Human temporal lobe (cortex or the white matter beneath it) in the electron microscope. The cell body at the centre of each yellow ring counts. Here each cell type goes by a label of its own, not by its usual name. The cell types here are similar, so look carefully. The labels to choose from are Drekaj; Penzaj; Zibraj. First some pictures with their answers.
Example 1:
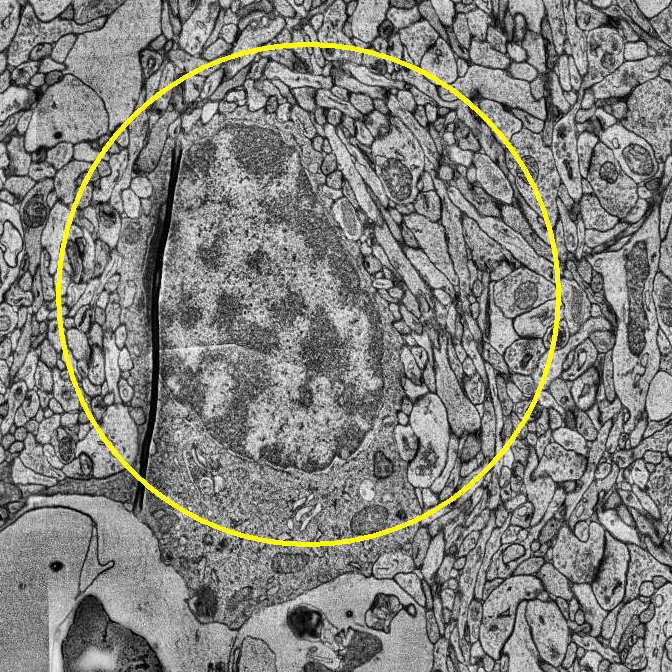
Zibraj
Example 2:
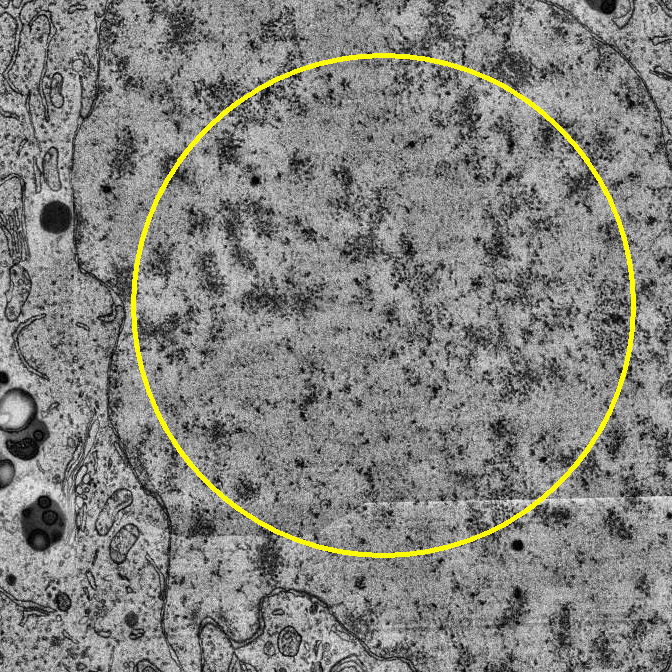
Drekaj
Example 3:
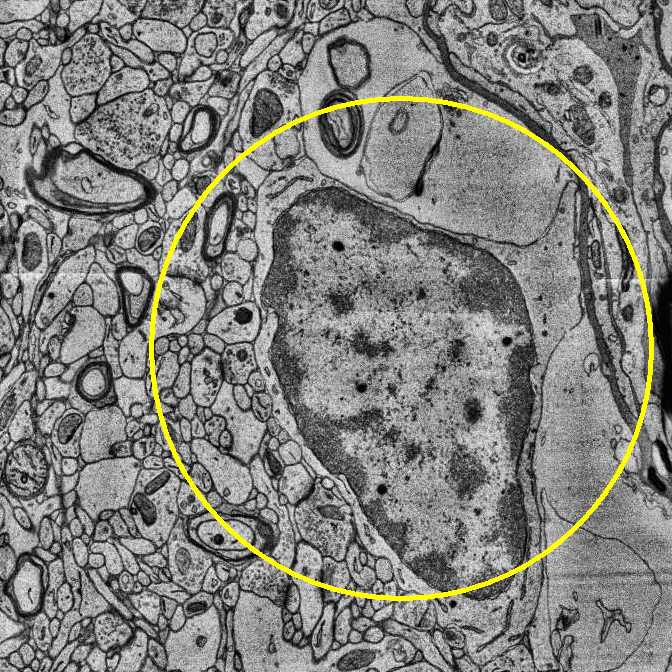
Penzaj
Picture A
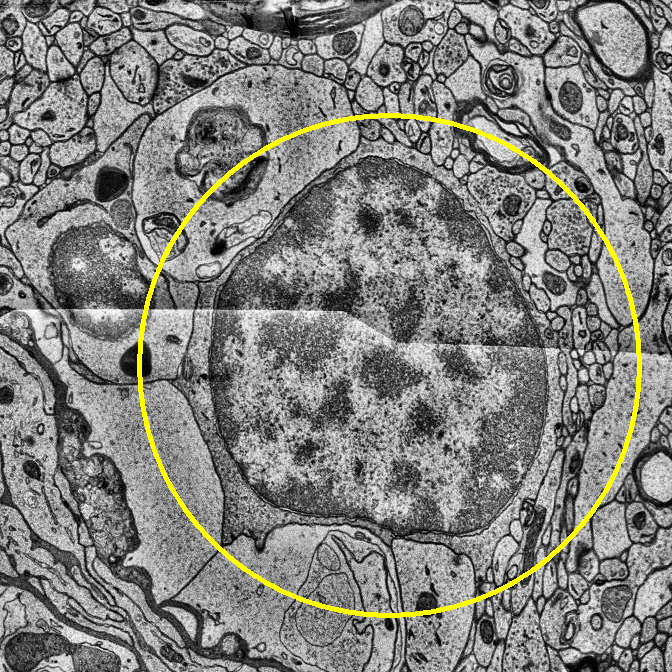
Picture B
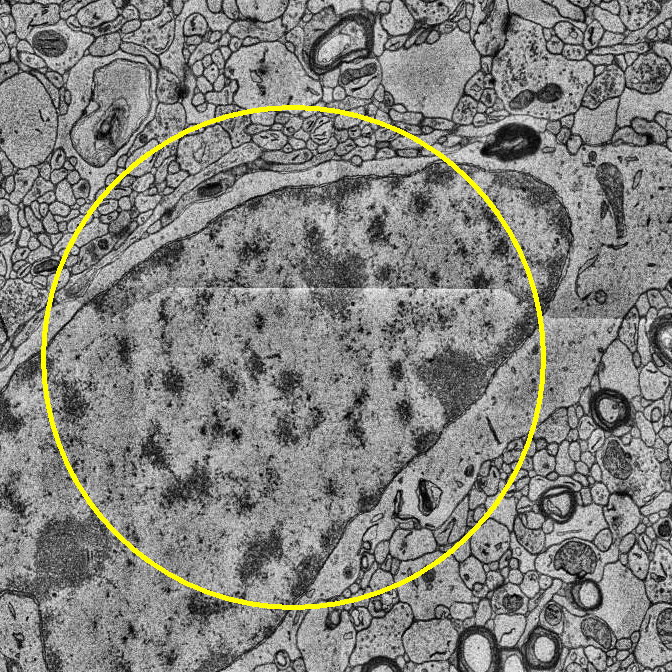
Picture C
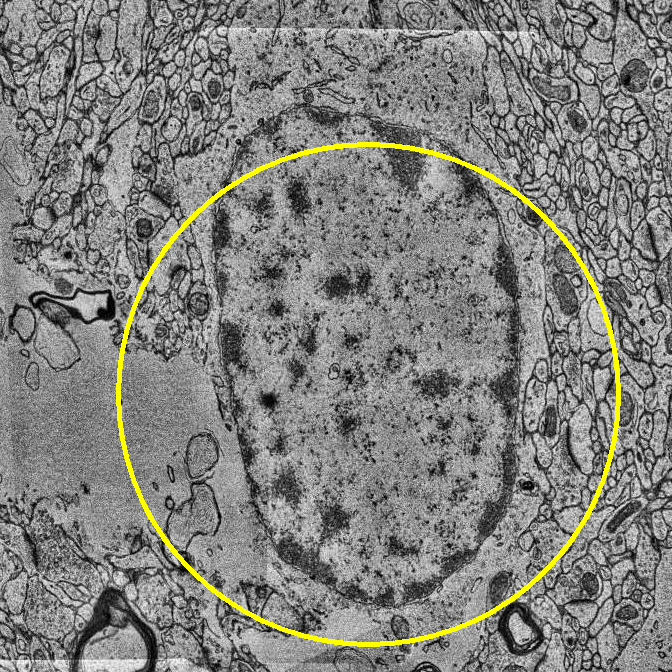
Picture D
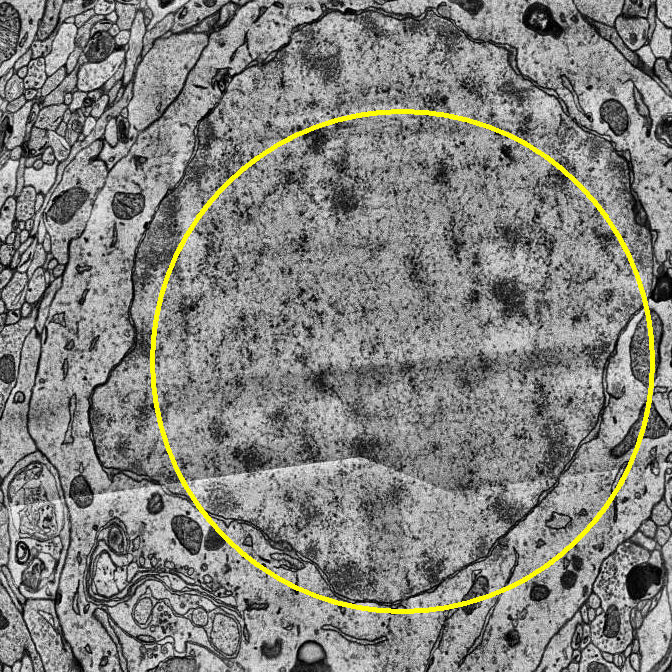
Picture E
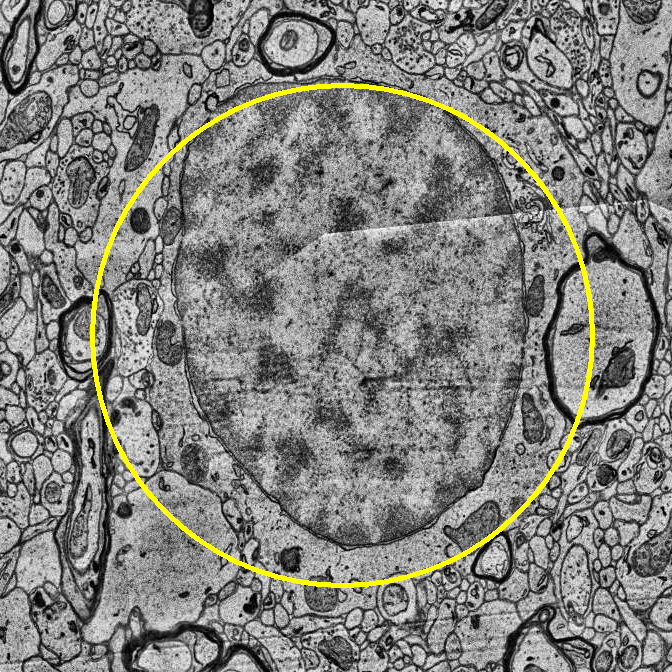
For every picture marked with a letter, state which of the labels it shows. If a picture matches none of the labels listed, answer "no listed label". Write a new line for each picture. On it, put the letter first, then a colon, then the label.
A: Zibraj
B: Penzaj
C: Penzaj
D: Drekaj
E: Zibraj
